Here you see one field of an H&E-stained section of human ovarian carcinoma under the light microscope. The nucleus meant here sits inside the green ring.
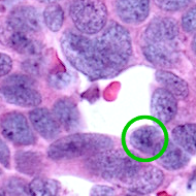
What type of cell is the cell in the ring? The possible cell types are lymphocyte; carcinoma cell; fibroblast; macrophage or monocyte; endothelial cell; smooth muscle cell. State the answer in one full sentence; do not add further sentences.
In this field of tissue, the cell in the ring is a carcinoma cell.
